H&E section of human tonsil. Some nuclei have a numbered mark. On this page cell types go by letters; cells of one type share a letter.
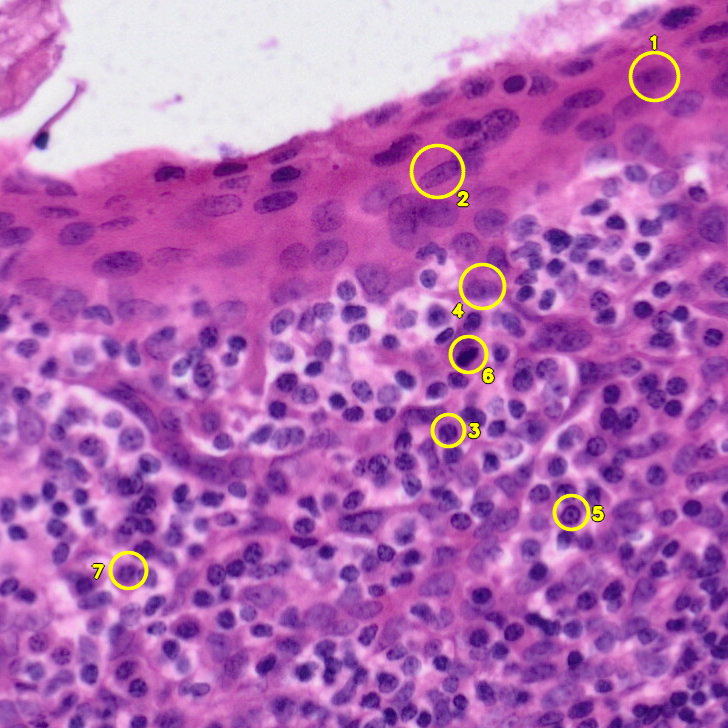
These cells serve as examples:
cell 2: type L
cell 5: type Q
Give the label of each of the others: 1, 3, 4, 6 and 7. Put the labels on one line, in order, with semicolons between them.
type L; type Q; type L; type L; type Q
